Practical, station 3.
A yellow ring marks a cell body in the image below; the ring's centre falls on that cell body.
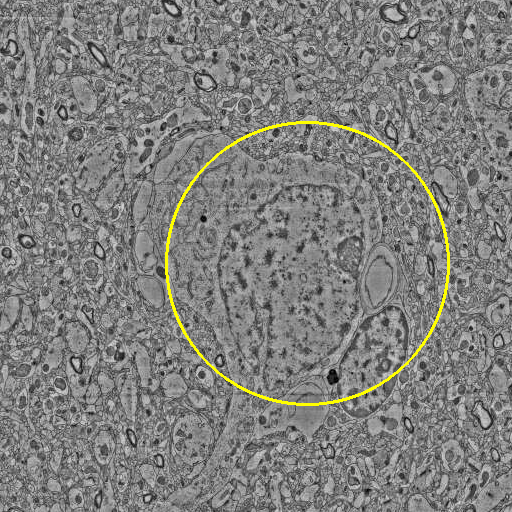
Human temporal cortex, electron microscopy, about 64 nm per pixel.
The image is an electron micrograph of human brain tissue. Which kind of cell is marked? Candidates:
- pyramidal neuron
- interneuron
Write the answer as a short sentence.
The marked cell body is that of an interneuron.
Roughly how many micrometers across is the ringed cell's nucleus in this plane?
About 12 micrometres by about 9 micrometres in this plane.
